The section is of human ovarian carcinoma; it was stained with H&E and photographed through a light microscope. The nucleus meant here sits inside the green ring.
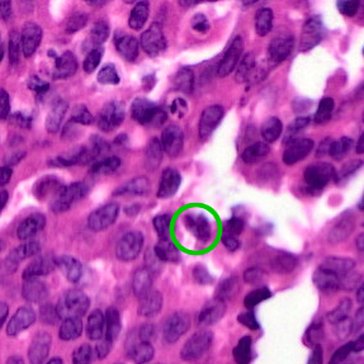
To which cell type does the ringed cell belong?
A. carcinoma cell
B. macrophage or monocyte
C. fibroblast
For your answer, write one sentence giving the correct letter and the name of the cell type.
In this case the ringed cell is a macrophage or monocyte, so option B is correct.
